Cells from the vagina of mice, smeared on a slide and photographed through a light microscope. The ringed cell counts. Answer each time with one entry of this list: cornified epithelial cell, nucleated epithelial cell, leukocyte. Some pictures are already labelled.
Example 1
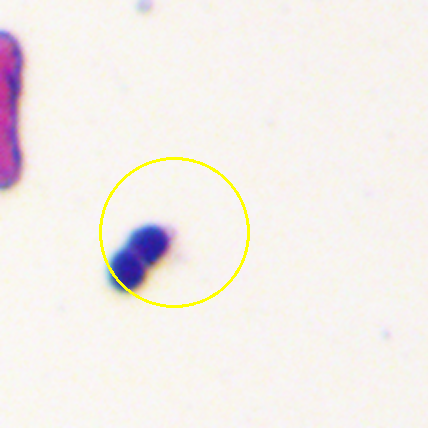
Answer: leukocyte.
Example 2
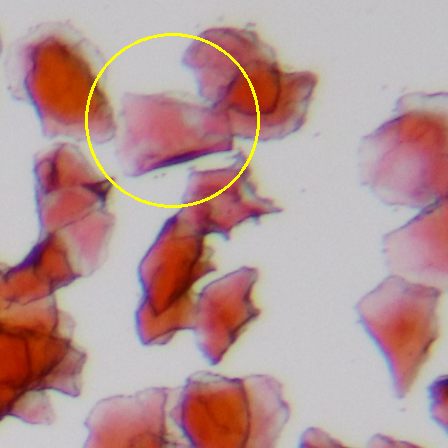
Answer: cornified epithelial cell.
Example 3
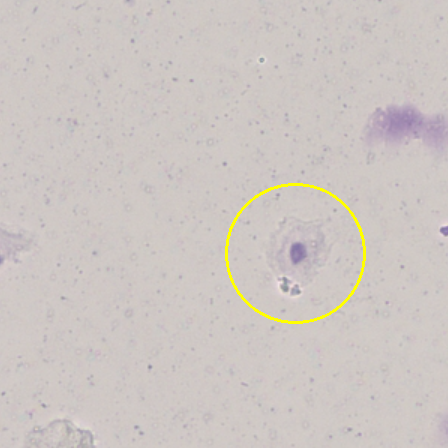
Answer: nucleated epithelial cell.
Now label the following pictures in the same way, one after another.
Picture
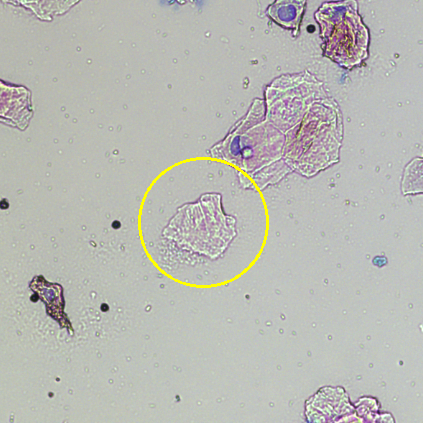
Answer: cornified epithelial cell.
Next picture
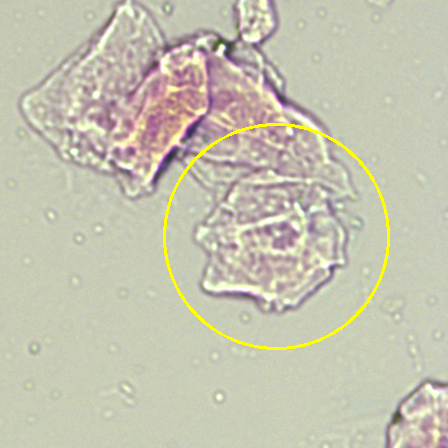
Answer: cornified epithelial cell.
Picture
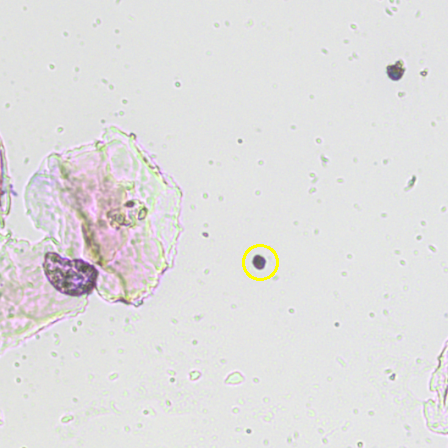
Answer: leukocyte.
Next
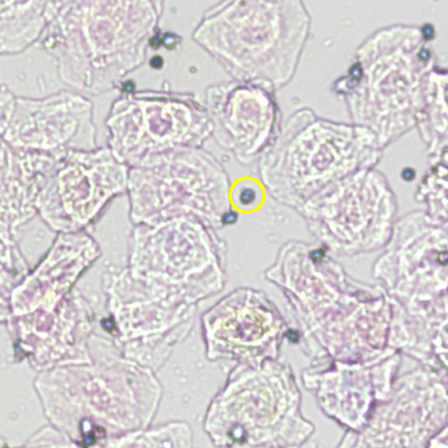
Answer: leukocyte.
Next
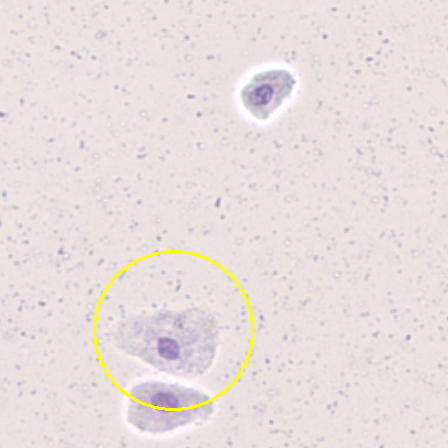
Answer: nucleated epithelial cell.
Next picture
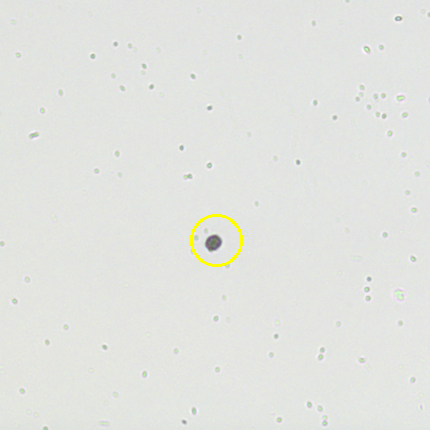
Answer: leukocyte.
